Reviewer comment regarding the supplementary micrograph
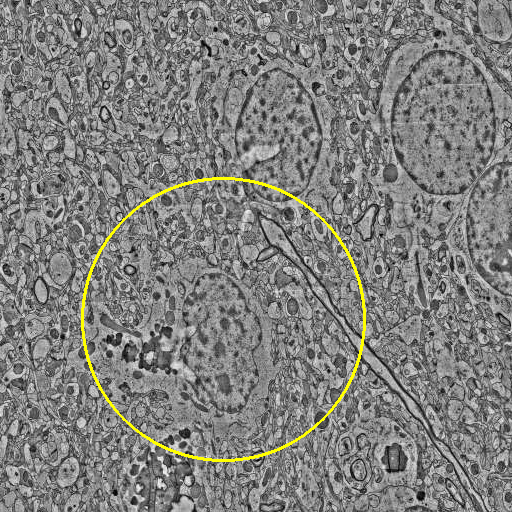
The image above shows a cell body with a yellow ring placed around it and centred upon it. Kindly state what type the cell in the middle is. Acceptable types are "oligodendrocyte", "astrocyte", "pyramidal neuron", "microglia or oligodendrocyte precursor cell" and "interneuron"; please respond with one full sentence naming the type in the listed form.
In the image above, the cell on which the yellow ring is centred is an astrocyte.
